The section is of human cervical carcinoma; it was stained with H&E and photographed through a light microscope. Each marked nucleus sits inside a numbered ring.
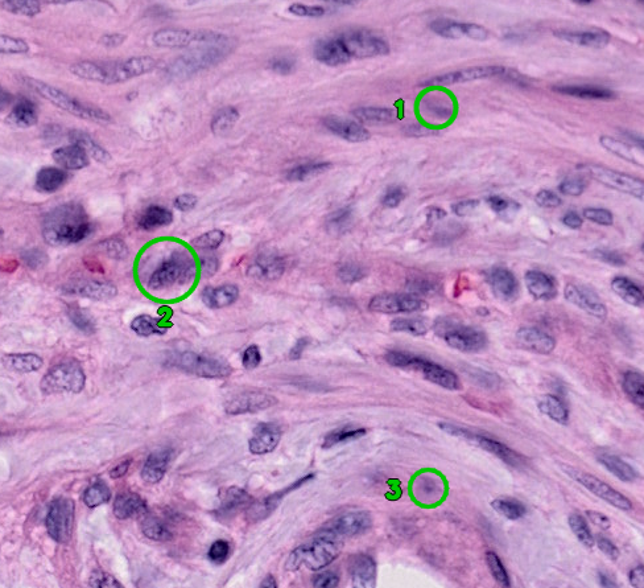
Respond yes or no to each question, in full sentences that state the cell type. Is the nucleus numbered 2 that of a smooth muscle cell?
No, cell 2 is an endothelial cell; it is not a smooth muscle cell.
